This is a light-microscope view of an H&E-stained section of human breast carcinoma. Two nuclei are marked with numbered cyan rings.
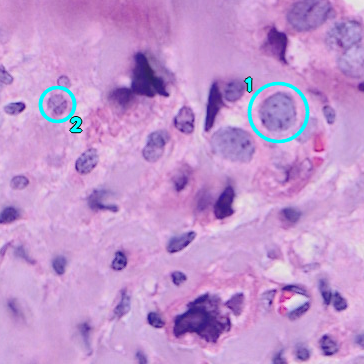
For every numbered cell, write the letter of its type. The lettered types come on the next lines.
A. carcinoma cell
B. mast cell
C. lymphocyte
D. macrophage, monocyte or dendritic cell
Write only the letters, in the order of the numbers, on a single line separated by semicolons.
A; D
